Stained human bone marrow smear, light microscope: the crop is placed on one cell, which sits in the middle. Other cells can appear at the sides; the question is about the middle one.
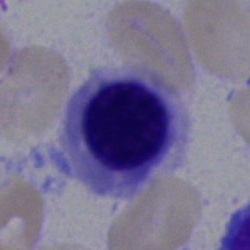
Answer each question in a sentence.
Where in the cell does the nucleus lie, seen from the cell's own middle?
Seen from the middle of the cell, the nucleus lies toward the upper right.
